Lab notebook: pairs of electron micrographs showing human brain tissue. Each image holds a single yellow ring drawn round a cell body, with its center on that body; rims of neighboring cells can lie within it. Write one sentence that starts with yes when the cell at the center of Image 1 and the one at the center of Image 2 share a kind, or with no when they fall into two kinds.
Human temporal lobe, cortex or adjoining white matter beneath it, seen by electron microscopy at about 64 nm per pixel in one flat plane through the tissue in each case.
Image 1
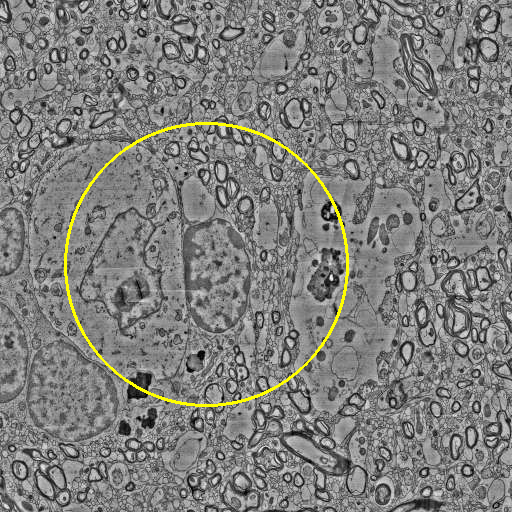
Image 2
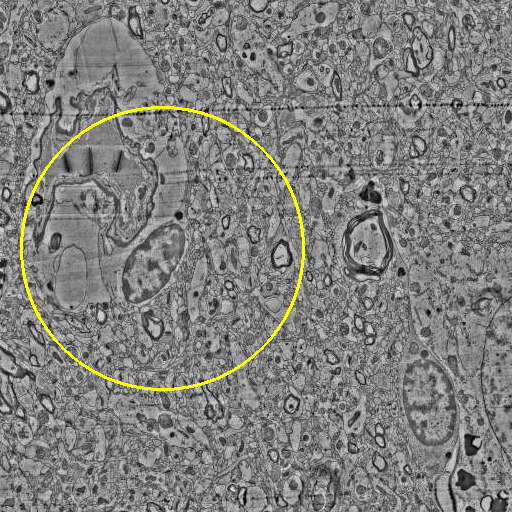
Yes, the centered cell in Image 1 and the centered cell in Image 2 are of one kind.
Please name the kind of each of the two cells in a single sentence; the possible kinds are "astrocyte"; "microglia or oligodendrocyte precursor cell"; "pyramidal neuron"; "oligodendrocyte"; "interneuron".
Both rings mark a microglial cell or oligodendrocyte precursor cell, one in each picture.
